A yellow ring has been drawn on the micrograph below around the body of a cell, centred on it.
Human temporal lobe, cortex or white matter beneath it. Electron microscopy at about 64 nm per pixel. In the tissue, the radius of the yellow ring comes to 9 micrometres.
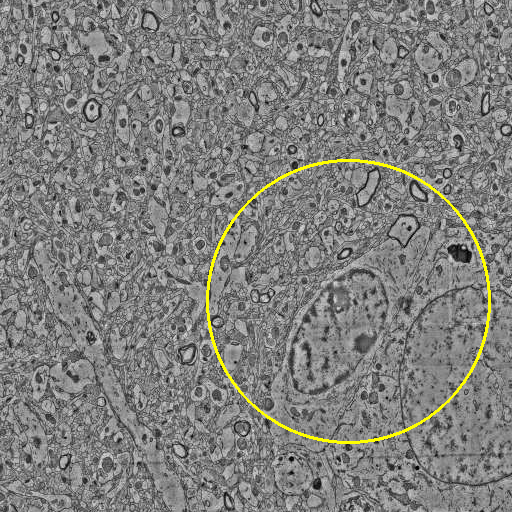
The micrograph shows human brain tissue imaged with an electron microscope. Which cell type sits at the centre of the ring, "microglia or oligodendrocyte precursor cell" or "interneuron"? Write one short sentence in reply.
The cell sitting at the centre of the ring is a microglial cell or oligodendrocyte precursor cell.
